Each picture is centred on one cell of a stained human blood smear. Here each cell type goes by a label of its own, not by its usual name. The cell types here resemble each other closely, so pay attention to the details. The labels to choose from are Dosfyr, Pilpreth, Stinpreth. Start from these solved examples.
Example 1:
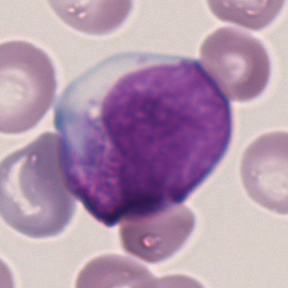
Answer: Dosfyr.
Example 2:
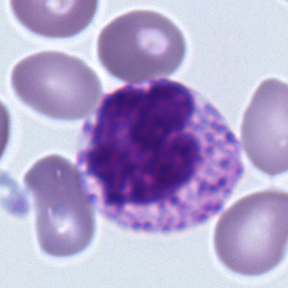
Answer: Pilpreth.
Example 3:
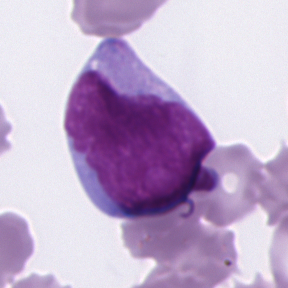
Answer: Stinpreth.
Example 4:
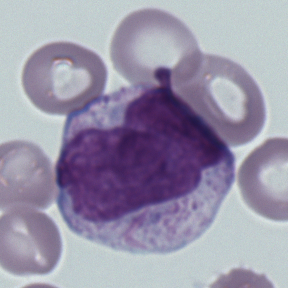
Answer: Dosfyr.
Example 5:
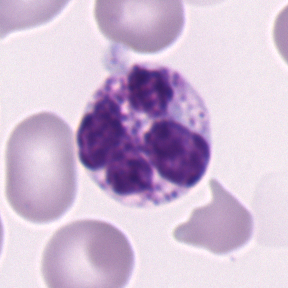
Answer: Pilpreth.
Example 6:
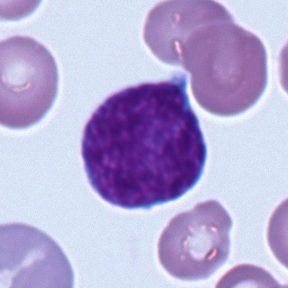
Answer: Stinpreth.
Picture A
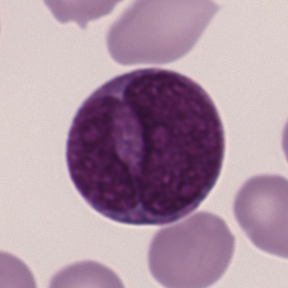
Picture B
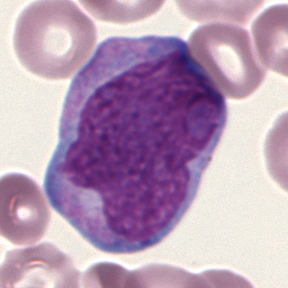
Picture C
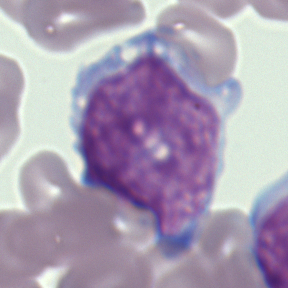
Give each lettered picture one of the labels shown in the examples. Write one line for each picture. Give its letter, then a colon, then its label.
A: Stinpreth.
B: Dosfyr.
C: Stinpreth.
